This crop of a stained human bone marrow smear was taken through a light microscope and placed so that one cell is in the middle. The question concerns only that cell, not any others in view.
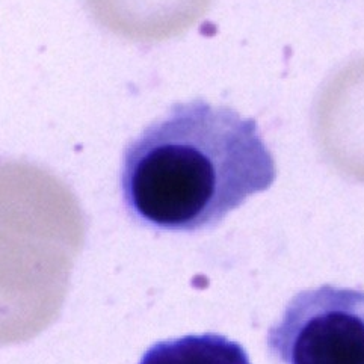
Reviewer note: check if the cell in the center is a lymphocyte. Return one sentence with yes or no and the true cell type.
No, the central cell is designated an erythroblast and not a lymphocyte.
